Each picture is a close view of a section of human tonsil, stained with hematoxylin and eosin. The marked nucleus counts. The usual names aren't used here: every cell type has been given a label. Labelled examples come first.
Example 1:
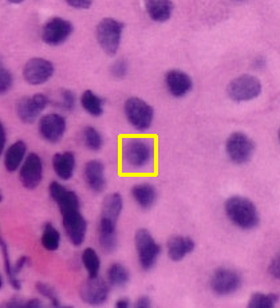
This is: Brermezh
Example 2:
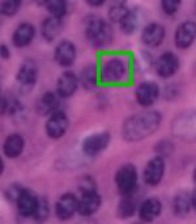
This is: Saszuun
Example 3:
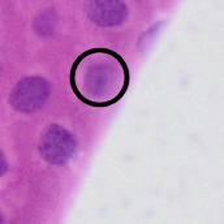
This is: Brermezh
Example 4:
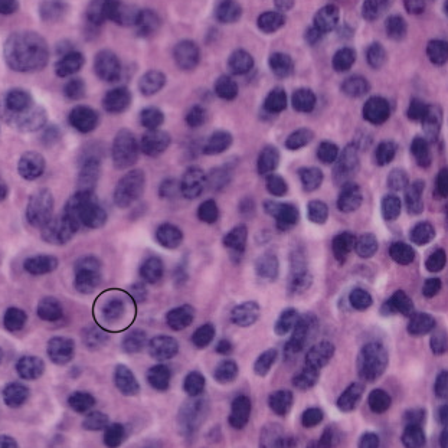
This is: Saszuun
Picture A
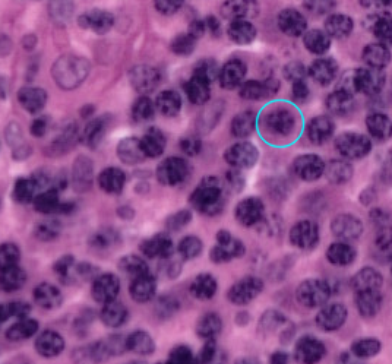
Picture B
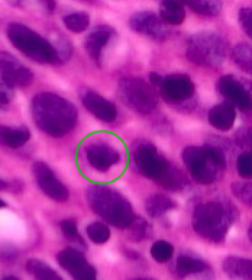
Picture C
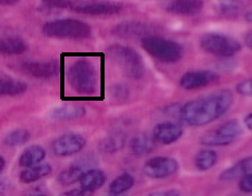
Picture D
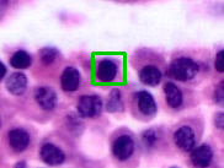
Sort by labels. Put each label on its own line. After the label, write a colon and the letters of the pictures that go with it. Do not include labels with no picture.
Brermezh: B, C
Saszuun: A, D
